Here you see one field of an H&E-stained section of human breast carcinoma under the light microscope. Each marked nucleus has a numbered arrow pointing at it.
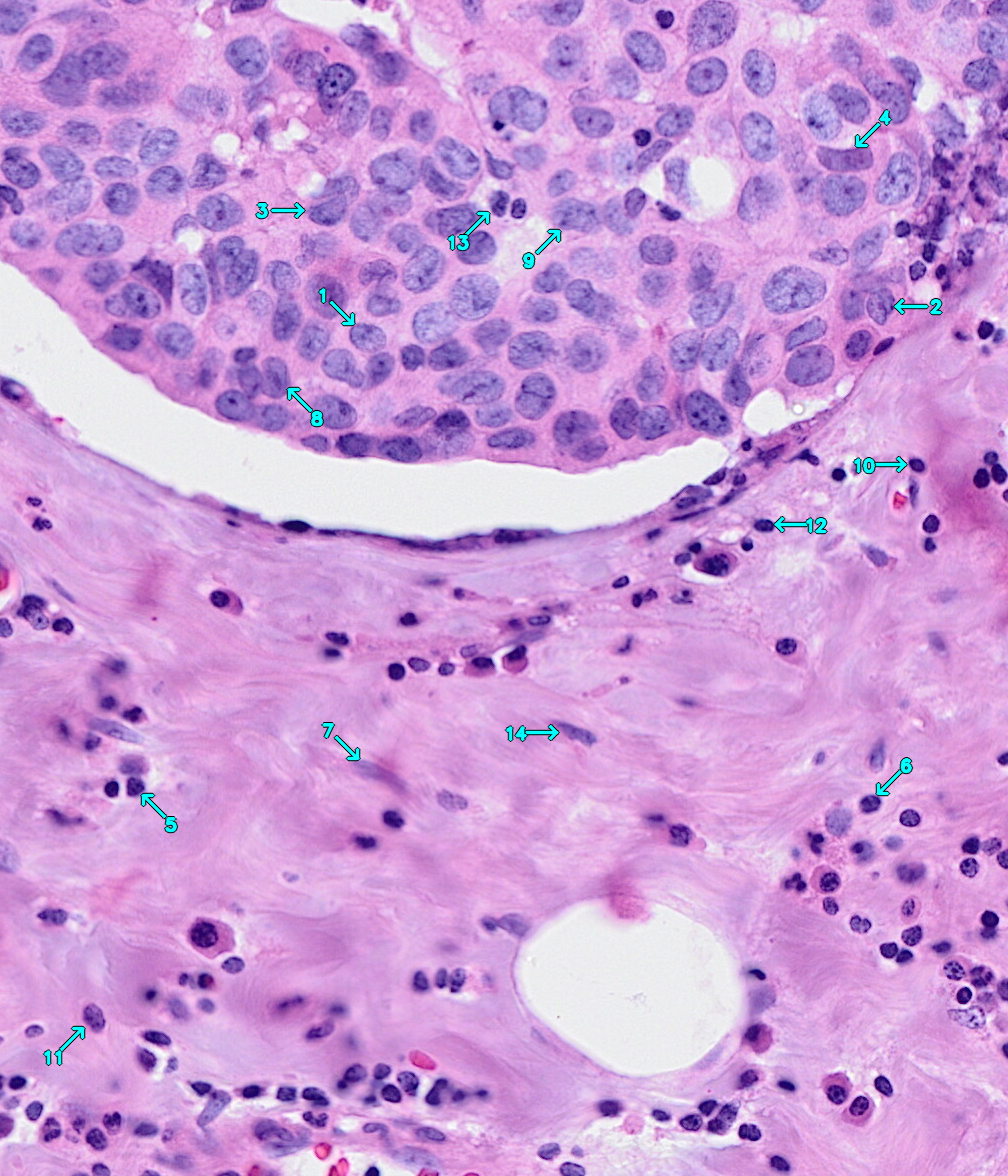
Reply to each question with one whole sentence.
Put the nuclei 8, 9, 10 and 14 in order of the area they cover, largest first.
By area, largest first, they run 9, 8, 14, 10.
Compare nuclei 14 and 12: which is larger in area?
It is nucleus 14, which covers about 1.5 times the area of nucleus 12.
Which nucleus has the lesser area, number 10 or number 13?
It is nucleus 10; nucleus 13 has about 2 times its area.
